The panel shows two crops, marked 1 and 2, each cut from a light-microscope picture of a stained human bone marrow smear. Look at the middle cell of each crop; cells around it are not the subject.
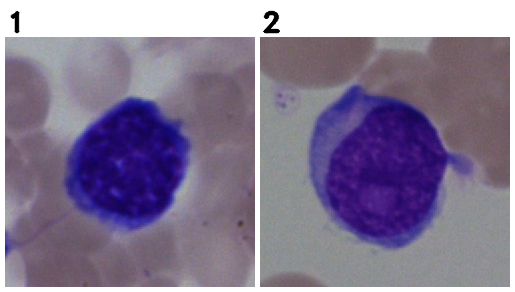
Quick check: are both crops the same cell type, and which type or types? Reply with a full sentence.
No, at the centre of crop 1 is a lymphocyte, and at the centre of crop 2 is a blast.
